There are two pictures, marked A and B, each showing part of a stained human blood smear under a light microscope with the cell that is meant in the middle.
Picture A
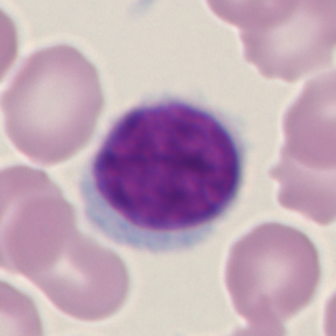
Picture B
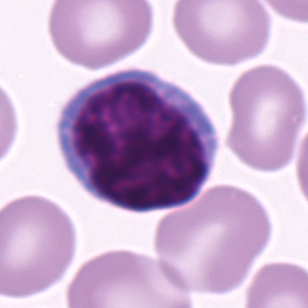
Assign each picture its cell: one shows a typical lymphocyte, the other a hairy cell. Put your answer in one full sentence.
The cell in picture A is a hairy cell, and the one in picture B is a typical lymphocyte.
